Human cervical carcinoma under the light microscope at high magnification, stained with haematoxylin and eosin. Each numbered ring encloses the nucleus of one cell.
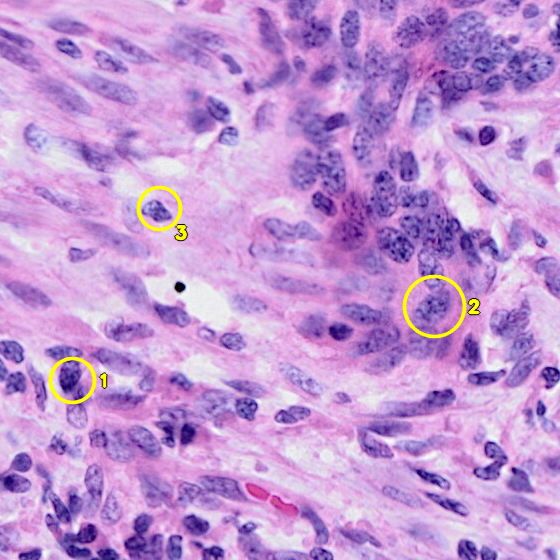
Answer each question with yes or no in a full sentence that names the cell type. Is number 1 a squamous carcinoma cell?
No, cell 1 is not a squamous carcinoma cell at all but a lymphocyte.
